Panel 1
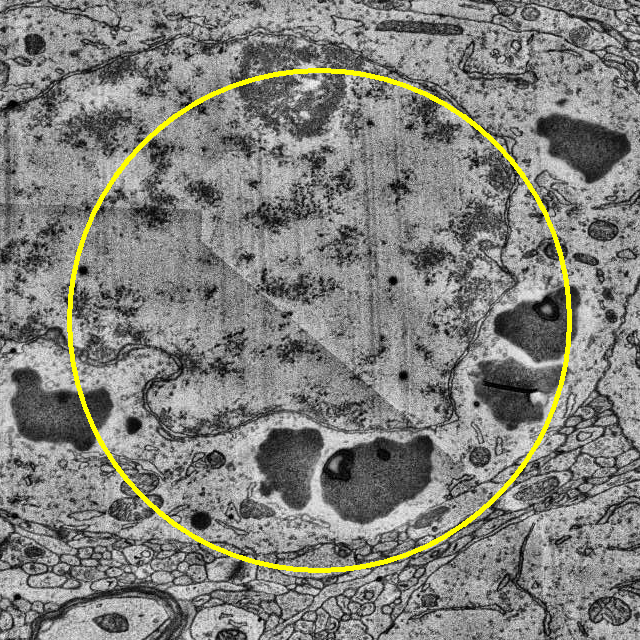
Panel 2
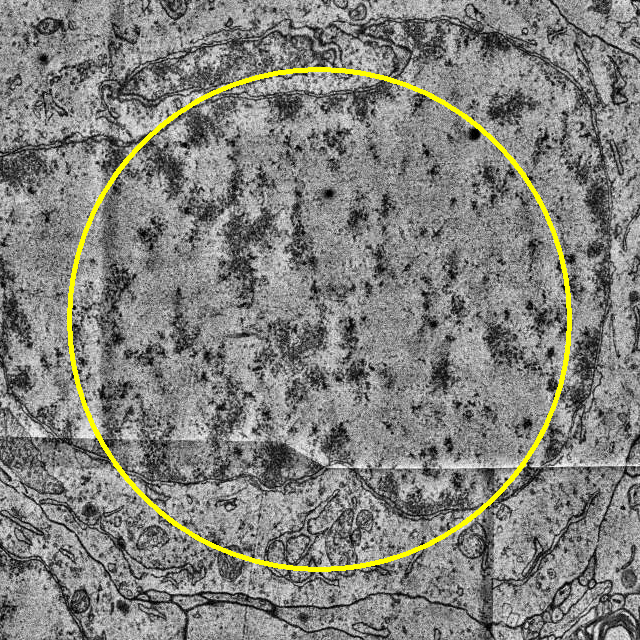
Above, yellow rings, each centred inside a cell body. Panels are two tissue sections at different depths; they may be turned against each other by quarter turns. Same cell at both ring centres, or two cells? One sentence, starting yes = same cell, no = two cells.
No, the rings surround different cells rather than one cell.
